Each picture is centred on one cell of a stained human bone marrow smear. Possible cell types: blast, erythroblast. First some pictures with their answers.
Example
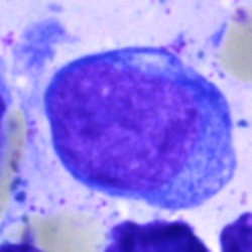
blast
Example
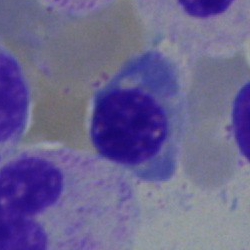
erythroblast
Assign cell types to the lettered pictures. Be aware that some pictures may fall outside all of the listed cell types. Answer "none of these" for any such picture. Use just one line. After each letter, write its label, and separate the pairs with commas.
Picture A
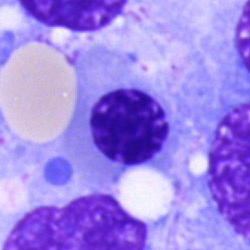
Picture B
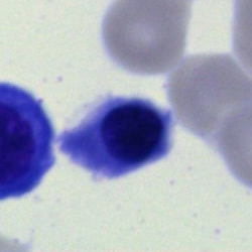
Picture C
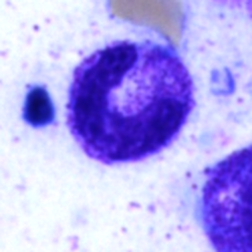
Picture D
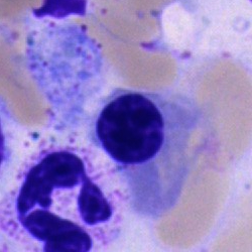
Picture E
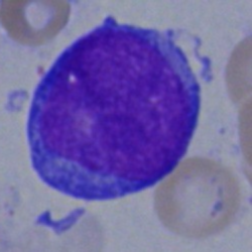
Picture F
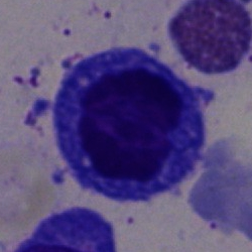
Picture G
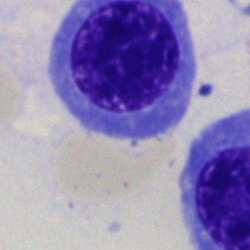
A erythroblast, B erythroblast, C none of these, D erythroblast, E blast, F erythroblast, G erythroblast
